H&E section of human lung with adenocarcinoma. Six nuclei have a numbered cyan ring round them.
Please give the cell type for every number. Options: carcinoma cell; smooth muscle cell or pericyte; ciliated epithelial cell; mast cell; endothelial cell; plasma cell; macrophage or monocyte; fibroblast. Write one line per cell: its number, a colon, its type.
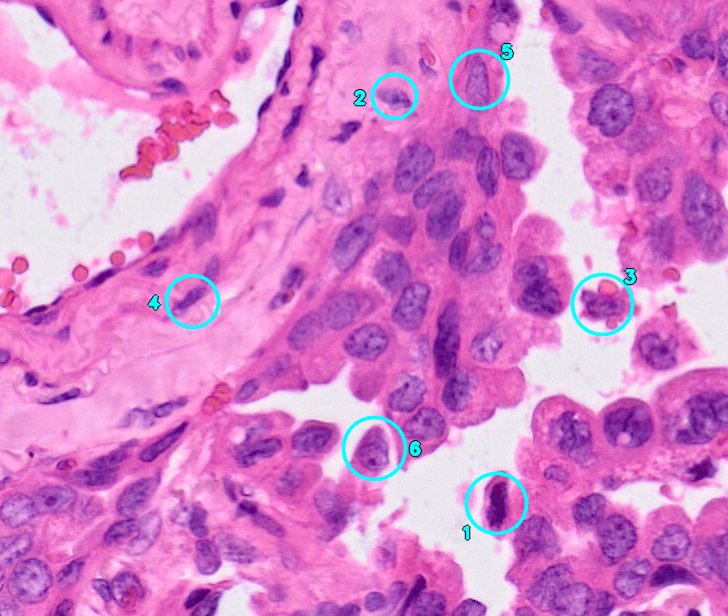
1: carcinoma cell
2: fibroblast
3: carcinoma cell
4: smooth muscle cell or pericyte
5: carcinoma cell
6: carcinoma cell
